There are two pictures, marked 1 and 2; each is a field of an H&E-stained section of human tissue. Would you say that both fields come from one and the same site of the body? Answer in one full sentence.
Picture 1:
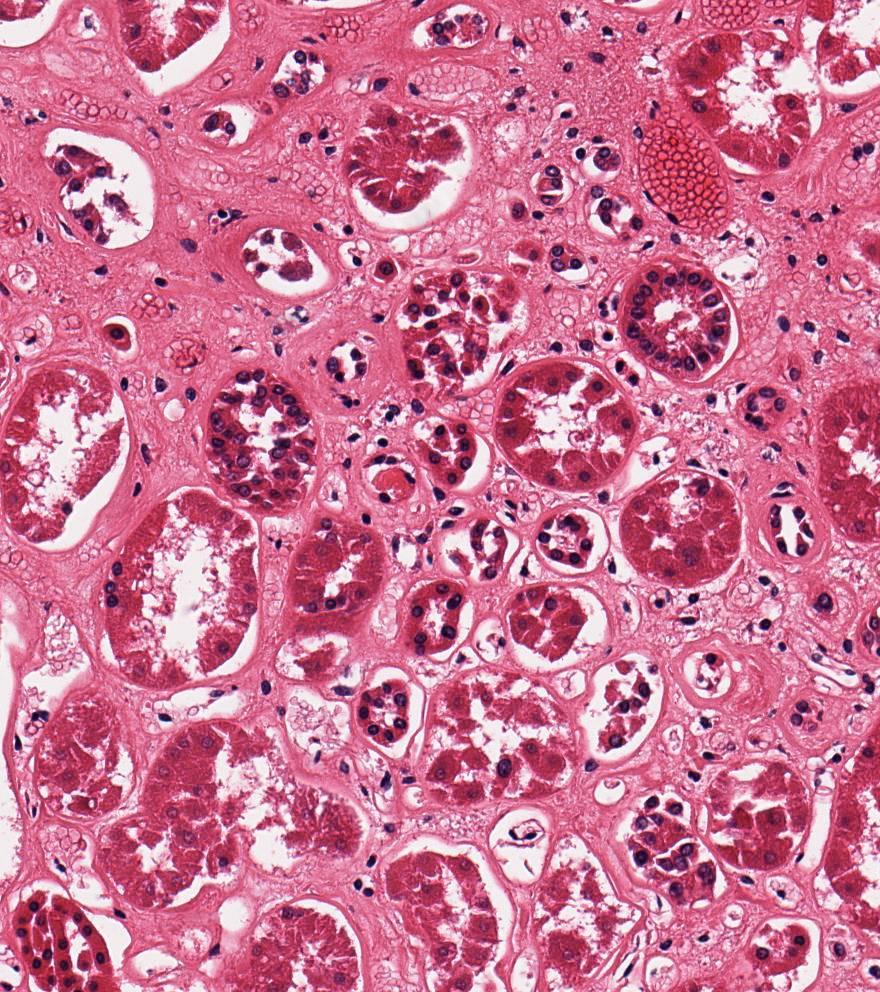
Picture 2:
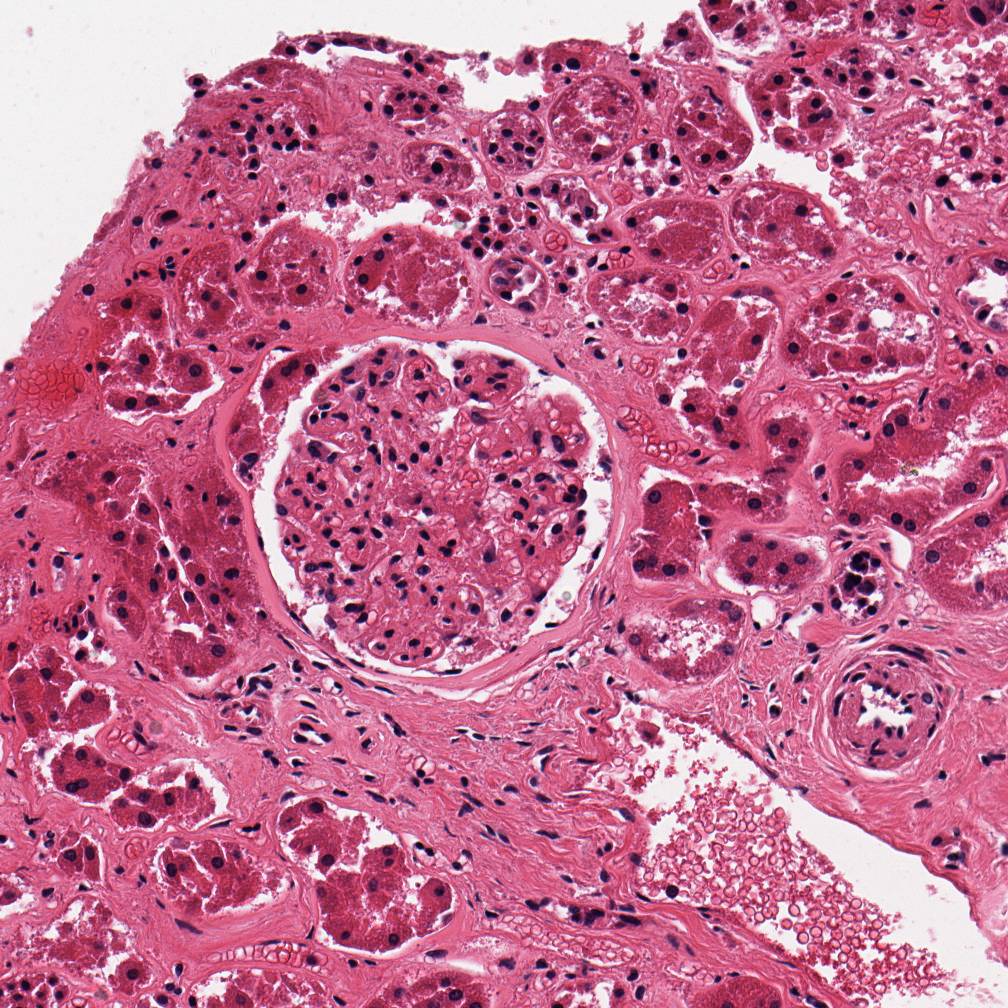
Yes, both come from the renal cortex.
